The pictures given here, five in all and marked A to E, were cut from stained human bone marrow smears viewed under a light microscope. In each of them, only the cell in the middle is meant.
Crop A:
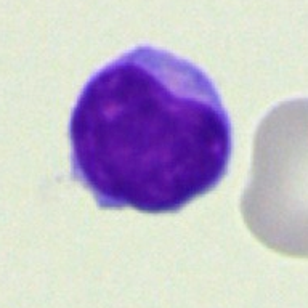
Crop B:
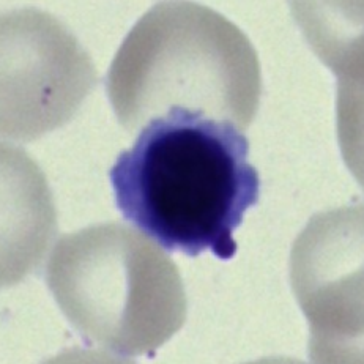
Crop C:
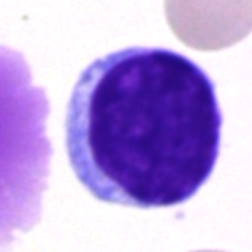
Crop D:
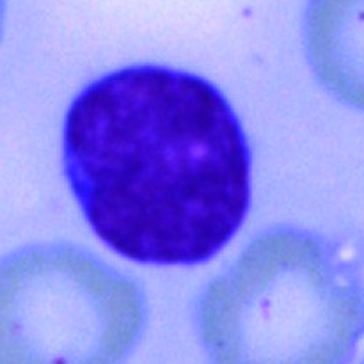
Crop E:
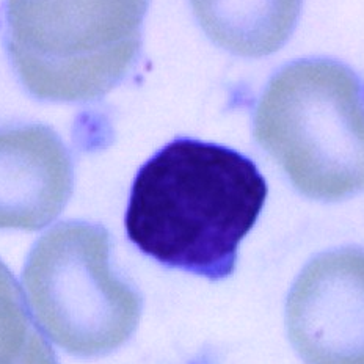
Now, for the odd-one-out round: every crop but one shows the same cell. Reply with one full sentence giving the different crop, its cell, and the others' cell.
Crop B, showing an erythroblast, is the exception; the others all show lymphocytes.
